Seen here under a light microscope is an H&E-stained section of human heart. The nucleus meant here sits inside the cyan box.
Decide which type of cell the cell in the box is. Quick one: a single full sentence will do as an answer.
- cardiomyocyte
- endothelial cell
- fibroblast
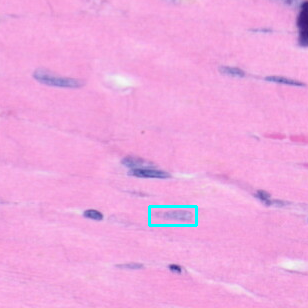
So far as cell type goes, the cell in the box is a cardiomyocyte.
